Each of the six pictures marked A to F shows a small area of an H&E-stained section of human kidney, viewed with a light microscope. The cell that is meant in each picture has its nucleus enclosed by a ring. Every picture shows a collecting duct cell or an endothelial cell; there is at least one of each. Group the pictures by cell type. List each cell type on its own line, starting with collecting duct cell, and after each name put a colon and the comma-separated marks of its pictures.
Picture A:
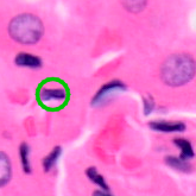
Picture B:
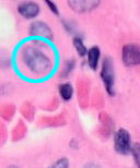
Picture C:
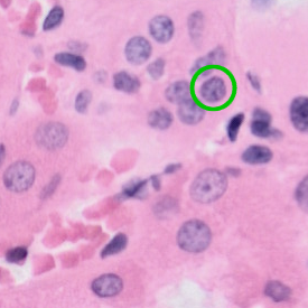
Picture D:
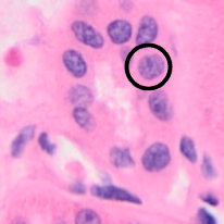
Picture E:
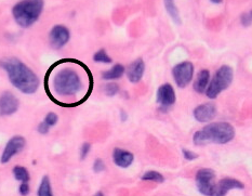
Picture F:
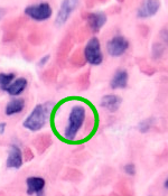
collecting duct cell: B, C, D
endothelial cell: A, E, F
